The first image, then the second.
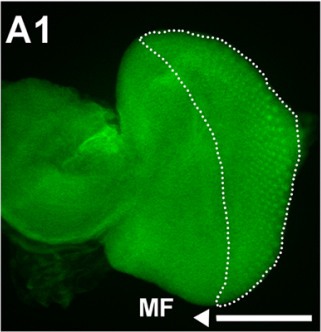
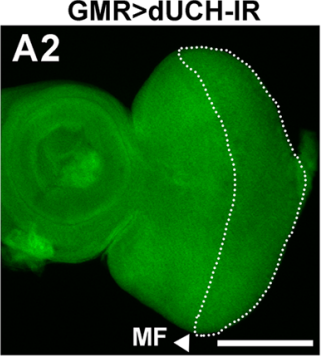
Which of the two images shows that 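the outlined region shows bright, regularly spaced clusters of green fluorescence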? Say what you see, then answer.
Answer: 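Second image: the outlined region is dim and fairly uniform, with the lattice of clusters hardly visible. First image: the outlined region is brighter, with a clear lattice of small bright clusters toward the posterior edge.
Conclusion: the first image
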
